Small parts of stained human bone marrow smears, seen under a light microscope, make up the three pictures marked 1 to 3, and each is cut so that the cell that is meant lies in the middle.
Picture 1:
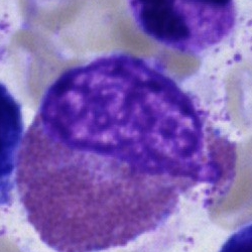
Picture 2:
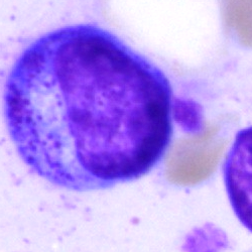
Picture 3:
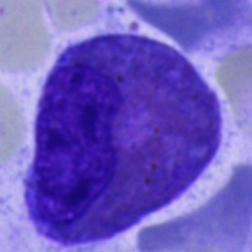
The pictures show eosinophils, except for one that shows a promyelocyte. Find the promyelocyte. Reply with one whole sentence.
It is picture 2 that shows the promyelocyte.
